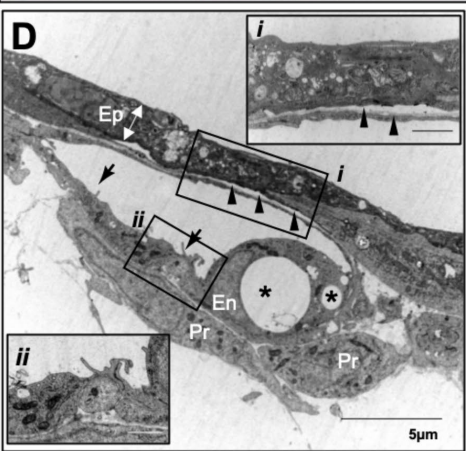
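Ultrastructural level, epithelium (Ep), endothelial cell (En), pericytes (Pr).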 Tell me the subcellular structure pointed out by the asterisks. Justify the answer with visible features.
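Large vacuoles. Round pale membrane-bound spaces lie within a cell's cytoplasm. The larger space is ringed by a thin rim of cytoplasm.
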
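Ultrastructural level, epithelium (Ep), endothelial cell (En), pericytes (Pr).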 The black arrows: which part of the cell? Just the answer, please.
Philopodia-like projections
